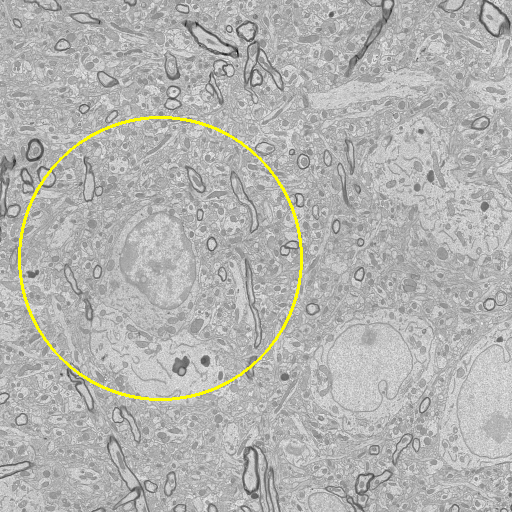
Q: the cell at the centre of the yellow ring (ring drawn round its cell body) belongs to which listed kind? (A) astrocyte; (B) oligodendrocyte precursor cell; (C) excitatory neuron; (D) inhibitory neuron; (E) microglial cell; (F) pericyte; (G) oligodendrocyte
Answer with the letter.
G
